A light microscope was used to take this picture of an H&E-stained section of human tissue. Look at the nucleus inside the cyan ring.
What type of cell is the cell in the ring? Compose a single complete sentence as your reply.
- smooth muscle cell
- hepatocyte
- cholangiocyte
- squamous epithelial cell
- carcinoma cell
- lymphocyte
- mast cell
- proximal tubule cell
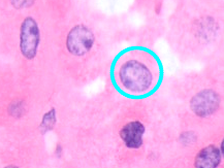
It is a proximal tubule cell that the cell in the ring represents.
